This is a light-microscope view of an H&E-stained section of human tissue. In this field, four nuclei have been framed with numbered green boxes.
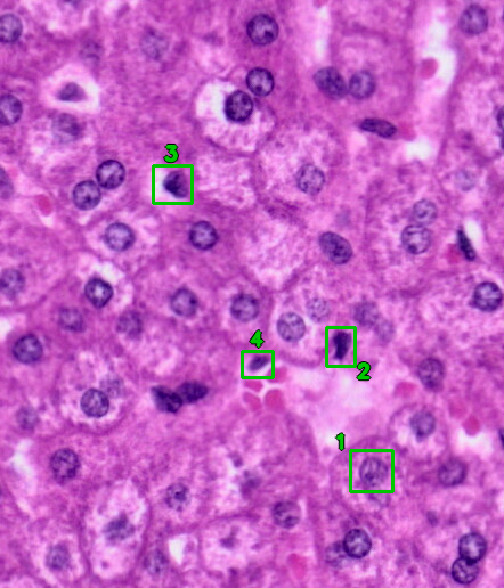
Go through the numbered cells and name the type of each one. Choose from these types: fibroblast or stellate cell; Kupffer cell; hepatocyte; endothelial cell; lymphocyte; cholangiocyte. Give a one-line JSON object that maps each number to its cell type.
{"1": "hepatocyte", "2": "fibroblast or stellate cell", "3": "endothelial cell", "4": "lymphocyte"}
